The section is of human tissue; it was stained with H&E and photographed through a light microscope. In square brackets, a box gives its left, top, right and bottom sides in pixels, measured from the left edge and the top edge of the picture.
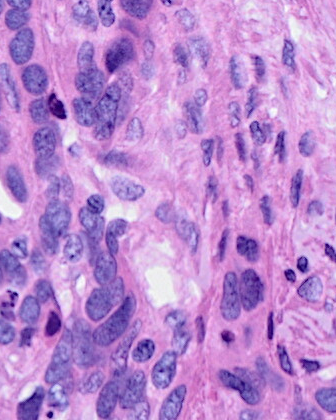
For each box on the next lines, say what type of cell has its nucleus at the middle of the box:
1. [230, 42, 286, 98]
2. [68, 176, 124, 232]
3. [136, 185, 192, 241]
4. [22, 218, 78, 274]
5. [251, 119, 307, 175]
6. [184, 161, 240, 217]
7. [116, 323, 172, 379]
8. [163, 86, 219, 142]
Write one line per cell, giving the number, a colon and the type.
1: fibroblast
2: lymphocyte
3: fibroblast
4: carcinoma cell
5: fibroblast
6: fibroblast
7: lymphocyte
8: fibroblast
